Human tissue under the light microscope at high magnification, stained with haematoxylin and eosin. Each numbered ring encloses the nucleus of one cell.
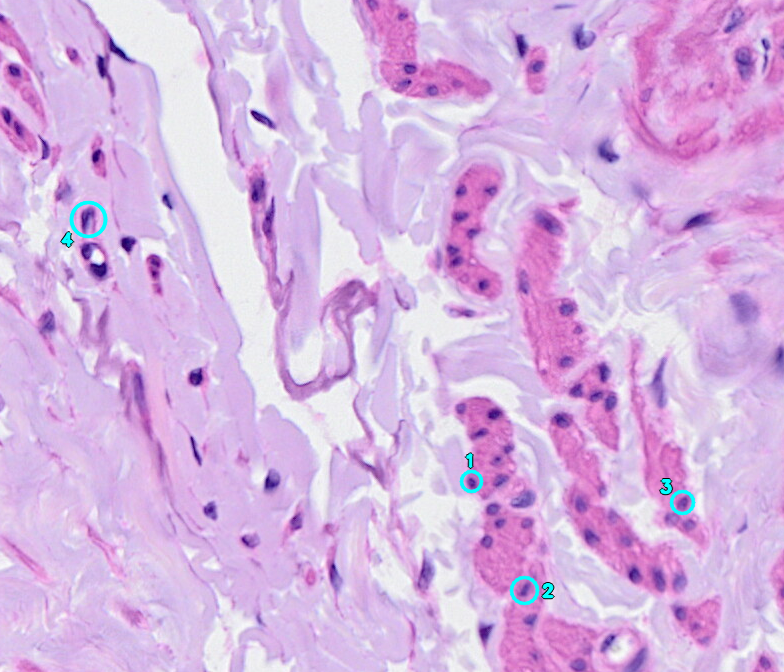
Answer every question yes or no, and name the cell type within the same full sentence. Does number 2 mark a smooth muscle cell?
Yes, the numbered nucleus 2 is that of a smooth muscle cell.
